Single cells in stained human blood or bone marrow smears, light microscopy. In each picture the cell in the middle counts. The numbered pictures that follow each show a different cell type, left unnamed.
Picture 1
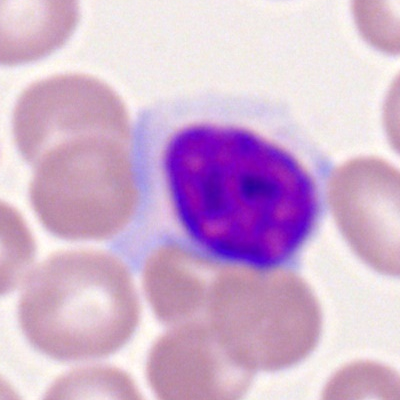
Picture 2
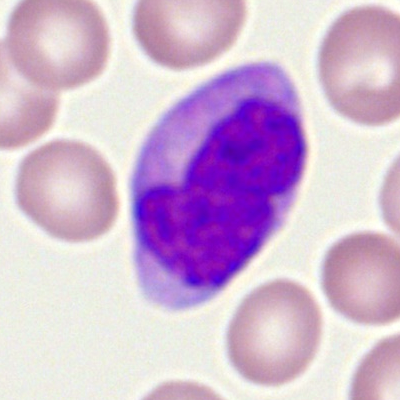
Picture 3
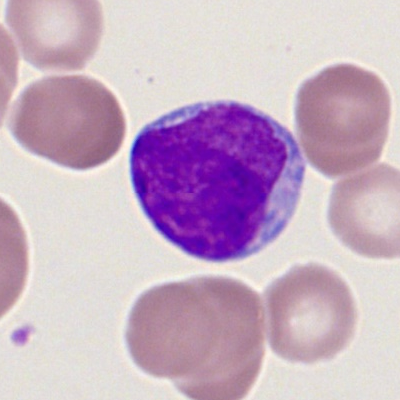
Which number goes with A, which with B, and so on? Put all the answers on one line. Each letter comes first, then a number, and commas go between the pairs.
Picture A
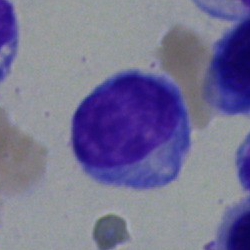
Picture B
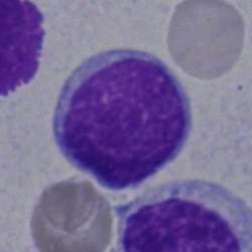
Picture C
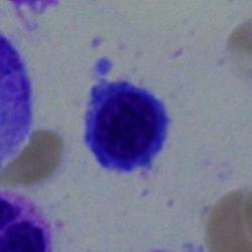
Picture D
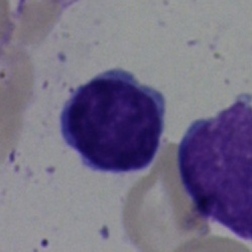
A 1, B 1, C 1, D 1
